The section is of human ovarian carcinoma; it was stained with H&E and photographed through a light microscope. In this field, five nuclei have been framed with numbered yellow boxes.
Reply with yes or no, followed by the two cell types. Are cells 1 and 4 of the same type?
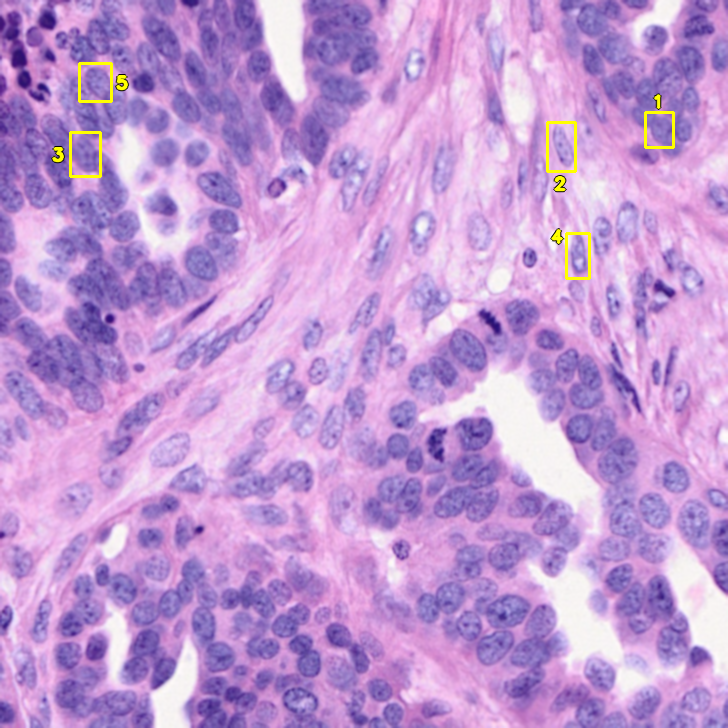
No, cell 1 is a carcinoma cell and cell 4 is a fibroblast.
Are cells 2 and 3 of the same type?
No, cell 2 is a fibroblast and cell 3 is a carcinoma cell.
